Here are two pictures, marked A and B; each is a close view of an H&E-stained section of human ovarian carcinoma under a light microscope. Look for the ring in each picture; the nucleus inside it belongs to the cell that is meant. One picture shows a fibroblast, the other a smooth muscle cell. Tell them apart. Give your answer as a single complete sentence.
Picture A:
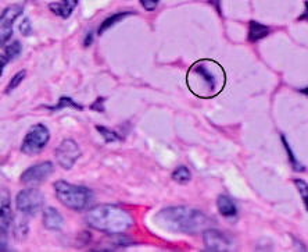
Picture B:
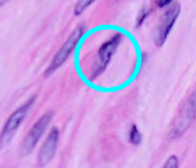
The cell in picture A is a fibroblast, and the one in picture B is a smooth muscle cell.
